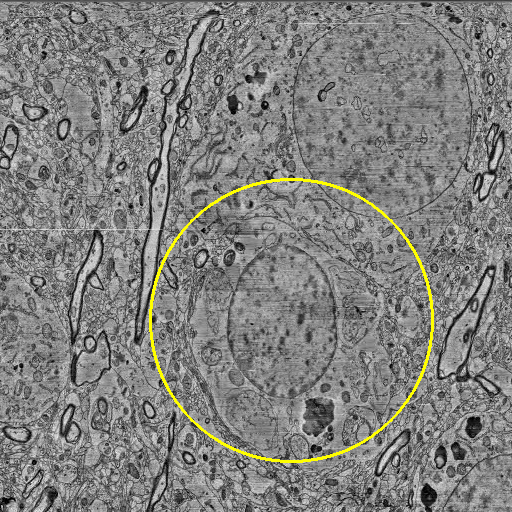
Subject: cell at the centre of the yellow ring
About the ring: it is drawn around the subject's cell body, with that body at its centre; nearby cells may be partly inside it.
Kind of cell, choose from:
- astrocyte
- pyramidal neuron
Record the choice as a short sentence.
The subject cell is an astrocyte.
